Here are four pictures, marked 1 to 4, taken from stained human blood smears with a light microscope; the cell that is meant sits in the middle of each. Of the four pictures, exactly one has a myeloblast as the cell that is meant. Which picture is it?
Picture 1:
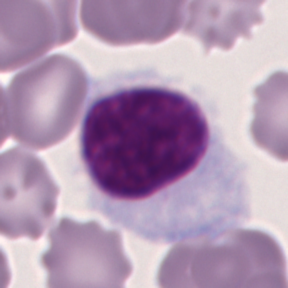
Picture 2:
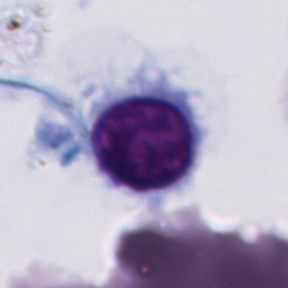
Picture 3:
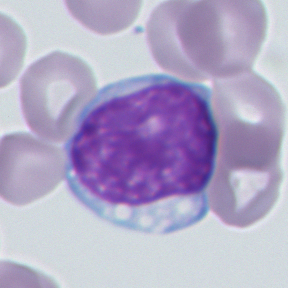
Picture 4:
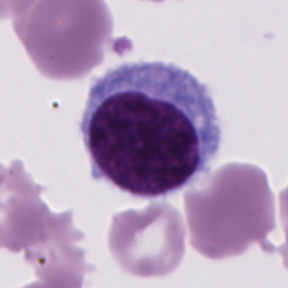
3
